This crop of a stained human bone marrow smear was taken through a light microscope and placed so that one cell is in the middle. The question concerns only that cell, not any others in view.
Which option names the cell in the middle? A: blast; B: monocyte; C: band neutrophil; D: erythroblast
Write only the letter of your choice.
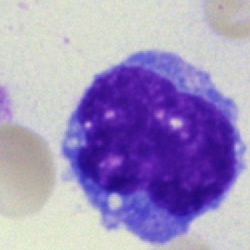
A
